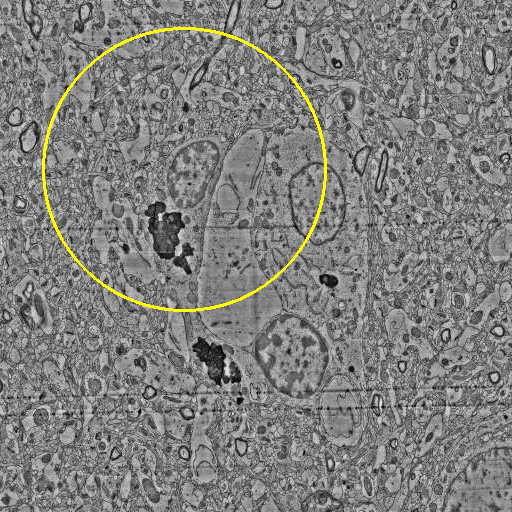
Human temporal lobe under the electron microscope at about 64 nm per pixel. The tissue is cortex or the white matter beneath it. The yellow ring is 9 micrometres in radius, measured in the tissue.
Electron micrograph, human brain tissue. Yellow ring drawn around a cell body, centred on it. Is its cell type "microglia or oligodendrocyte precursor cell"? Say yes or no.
no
